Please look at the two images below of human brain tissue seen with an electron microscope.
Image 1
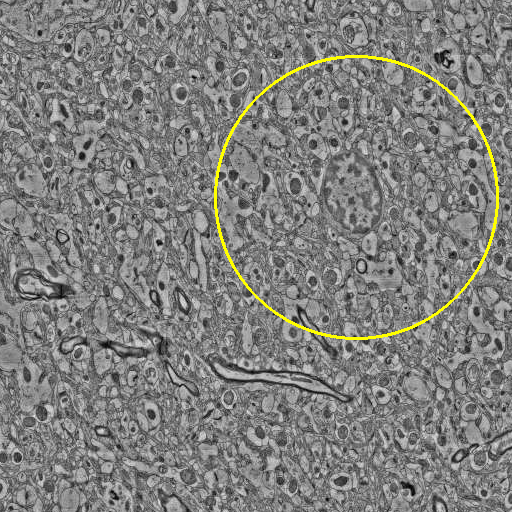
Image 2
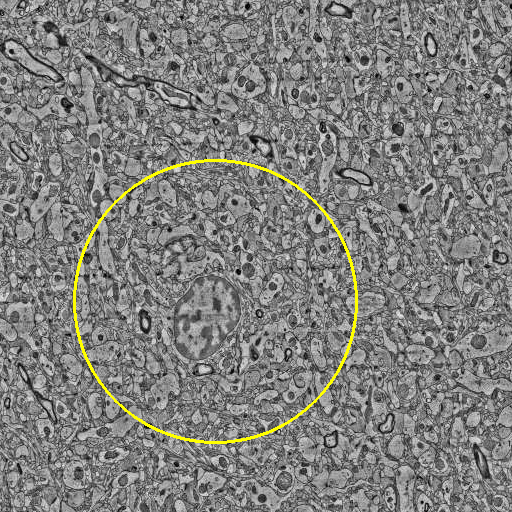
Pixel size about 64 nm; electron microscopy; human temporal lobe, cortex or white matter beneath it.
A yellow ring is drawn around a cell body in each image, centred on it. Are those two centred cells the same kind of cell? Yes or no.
no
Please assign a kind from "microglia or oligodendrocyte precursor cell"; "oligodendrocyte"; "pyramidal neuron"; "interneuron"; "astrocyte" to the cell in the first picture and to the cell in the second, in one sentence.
In the first picture we have an oligodendrocyte, and in the second, a microglial cell or oligodendrocyte precursor cell.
